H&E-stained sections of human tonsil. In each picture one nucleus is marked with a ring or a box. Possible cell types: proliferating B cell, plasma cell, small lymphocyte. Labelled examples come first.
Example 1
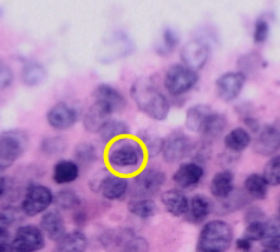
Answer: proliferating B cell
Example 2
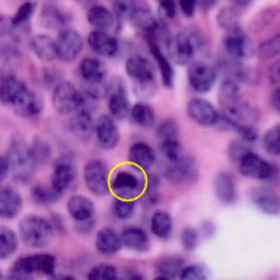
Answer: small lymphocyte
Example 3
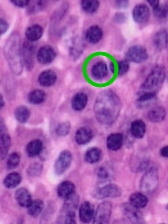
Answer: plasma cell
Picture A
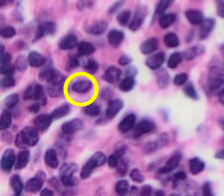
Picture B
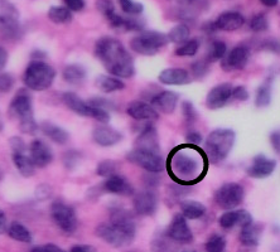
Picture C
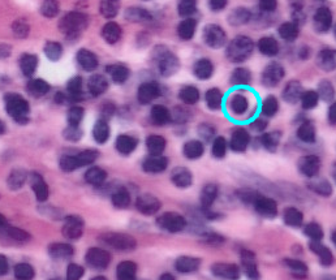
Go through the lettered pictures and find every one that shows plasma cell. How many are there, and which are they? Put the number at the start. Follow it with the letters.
0, none of them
